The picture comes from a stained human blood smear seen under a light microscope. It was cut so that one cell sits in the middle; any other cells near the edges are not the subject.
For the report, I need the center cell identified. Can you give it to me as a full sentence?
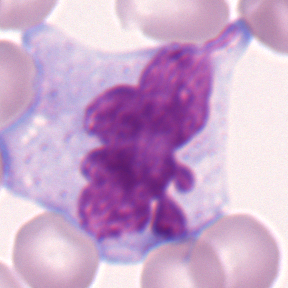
The centrally placed cell is classified as a monocyte.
